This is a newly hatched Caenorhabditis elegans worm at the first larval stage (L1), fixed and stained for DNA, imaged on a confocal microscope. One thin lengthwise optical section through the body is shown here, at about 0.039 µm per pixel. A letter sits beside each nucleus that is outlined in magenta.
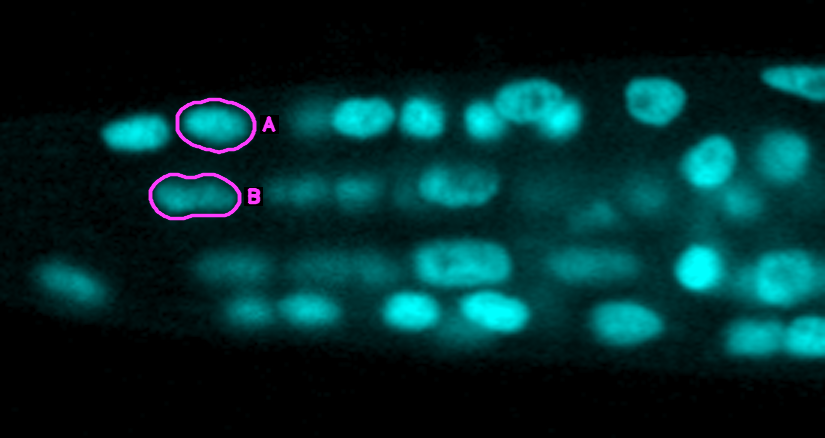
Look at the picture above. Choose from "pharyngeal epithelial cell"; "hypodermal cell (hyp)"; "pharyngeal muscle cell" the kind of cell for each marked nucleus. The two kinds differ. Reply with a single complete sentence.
A is from a hypodermal cell (hyp), and B is from a pharyngeal epithelial cell.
